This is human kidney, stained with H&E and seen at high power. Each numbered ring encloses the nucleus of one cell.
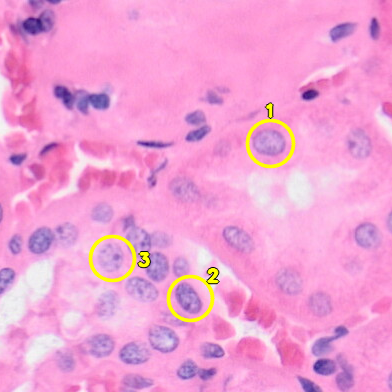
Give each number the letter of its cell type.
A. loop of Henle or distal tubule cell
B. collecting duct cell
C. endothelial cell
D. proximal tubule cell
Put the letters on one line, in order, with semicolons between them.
D; B; B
